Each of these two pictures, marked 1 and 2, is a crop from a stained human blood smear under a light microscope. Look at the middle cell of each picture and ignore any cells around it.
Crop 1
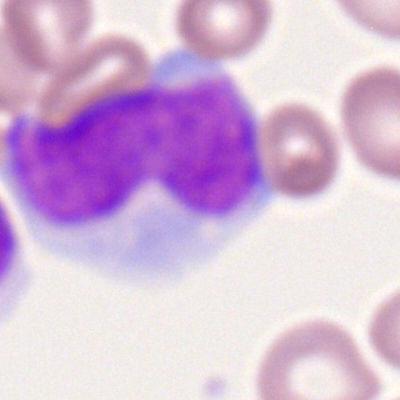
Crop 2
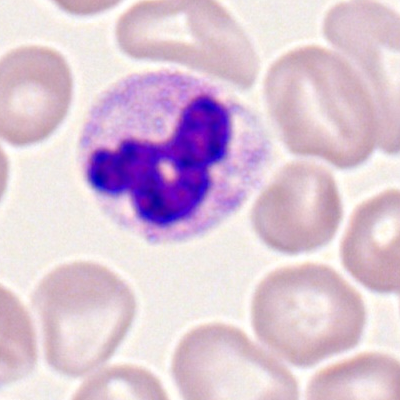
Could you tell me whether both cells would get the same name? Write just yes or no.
no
